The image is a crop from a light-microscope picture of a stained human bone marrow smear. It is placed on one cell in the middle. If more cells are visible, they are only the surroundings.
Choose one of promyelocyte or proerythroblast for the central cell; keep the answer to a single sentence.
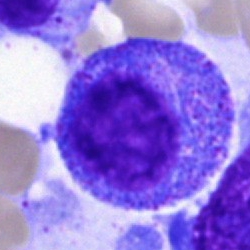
Within this crop, a promyelocyte occupies the central position.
